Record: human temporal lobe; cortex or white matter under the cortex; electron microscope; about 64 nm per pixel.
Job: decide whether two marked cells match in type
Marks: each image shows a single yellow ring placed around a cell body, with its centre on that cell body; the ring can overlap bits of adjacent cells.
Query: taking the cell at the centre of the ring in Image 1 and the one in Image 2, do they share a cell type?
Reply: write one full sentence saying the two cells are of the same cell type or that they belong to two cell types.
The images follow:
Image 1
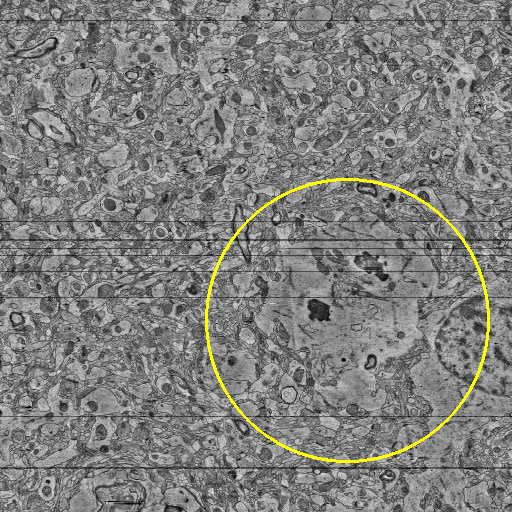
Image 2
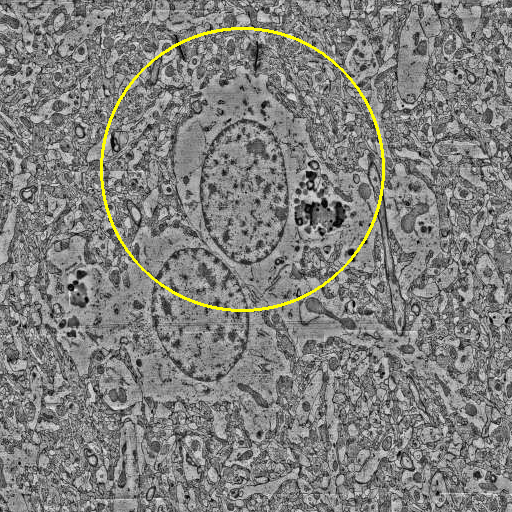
The cells at the ring centres in Image 1 and Image 2 are of the same cell type.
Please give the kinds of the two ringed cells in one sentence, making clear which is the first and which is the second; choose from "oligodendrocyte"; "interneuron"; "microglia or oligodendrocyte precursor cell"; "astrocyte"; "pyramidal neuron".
The first and the second cell are each an astrocyte.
